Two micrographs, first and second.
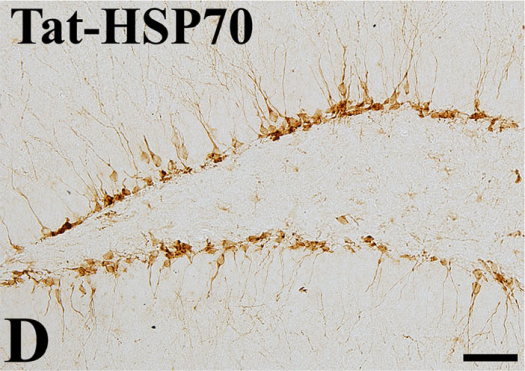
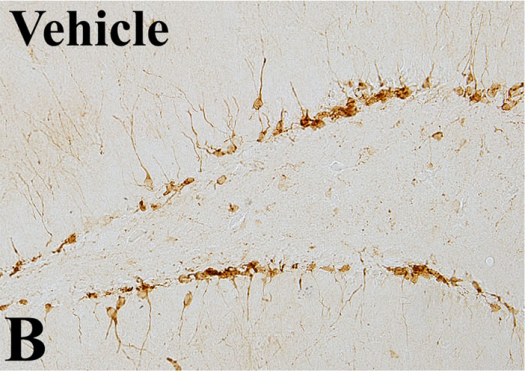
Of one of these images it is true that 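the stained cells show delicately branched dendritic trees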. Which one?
The first image.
